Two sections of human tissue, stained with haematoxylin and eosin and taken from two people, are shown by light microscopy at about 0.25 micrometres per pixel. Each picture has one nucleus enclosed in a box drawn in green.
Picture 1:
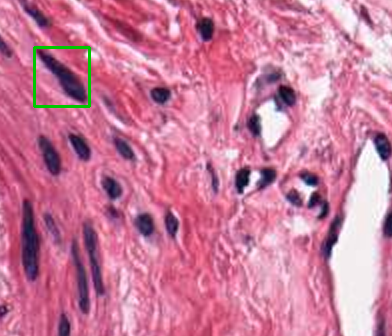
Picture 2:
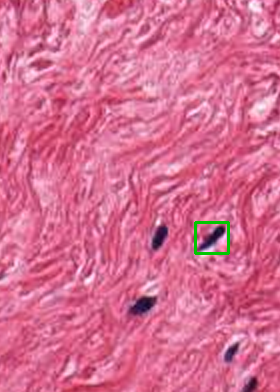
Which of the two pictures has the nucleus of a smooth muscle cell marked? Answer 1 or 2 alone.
1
